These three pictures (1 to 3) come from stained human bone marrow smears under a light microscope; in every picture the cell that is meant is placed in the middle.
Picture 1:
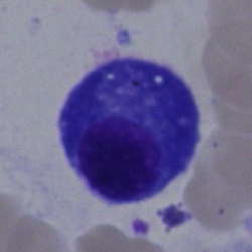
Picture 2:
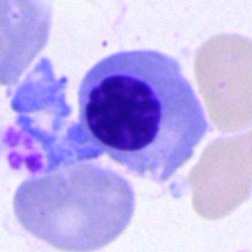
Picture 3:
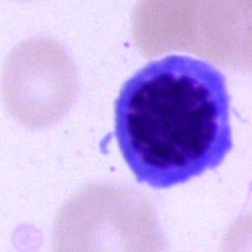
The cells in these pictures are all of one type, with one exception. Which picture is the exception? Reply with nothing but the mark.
1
